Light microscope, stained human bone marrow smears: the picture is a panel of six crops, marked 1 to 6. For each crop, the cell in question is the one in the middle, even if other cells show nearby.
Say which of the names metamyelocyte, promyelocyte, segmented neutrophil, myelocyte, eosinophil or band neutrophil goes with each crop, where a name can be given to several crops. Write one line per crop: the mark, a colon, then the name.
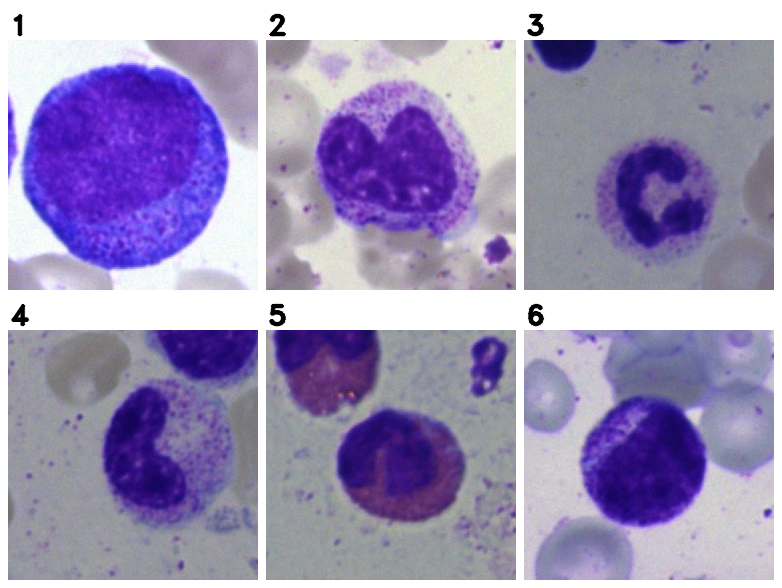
1: promyelocyte
2: band neutrophil
3: segmented neutrophil
4: band neutrophil
5: eosinophil
6: metamyelocyte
